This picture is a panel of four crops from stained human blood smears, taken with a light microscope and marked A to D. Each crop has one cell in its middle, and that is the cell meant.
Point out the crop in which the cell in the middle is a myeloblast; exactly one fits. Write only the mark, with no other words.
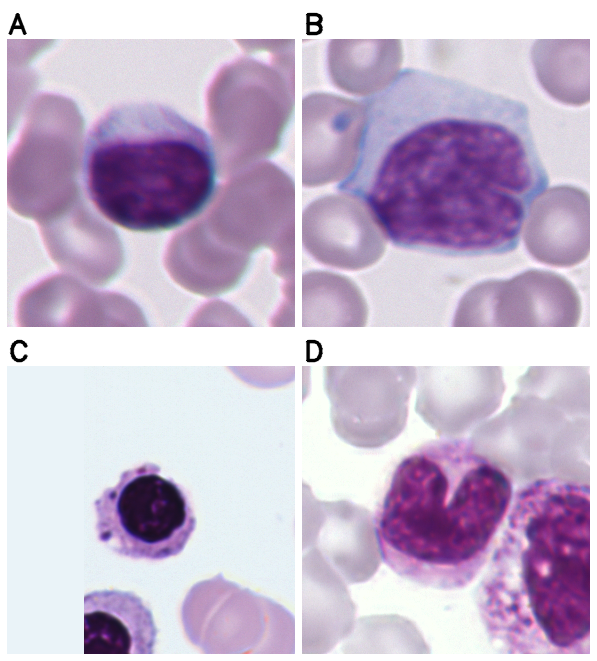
B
